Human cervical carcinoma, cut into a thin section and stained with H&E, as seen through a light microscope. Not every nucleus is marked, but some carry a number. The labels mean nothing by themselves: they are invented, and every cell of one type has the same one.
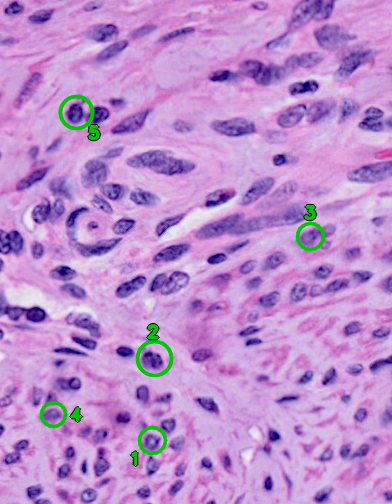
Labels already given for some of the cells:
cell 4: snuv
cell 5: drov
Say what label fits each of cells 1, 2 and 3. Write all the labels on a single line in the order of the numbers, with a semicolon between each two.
snuv; drov; snuv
